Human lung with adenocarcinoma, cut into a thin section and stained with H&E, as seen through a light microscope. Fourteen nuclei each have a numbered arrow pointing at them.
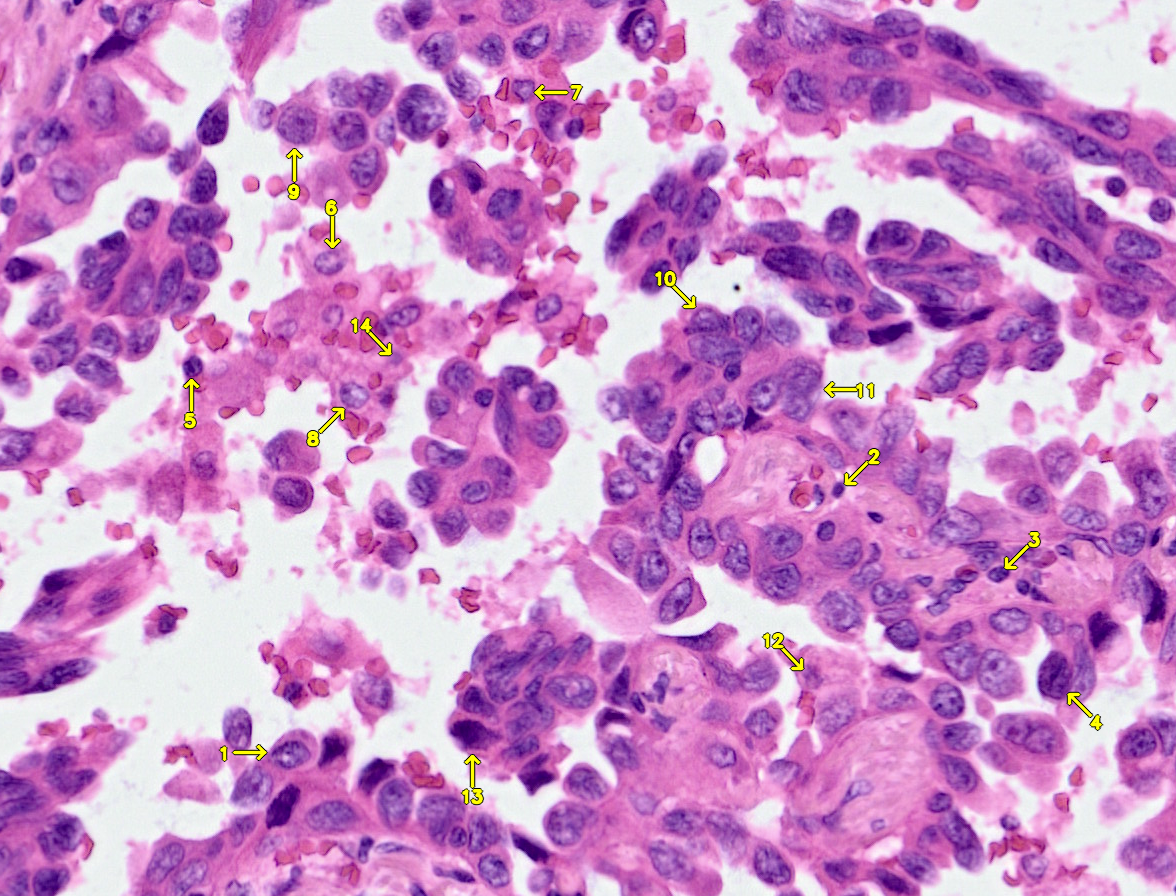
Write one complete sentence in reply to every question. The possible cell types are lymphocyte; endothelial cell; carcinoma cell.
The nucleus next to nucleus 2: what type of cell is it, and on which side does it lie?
It is an endothelial cell, whose nucleus lies to the left of nucleus 2.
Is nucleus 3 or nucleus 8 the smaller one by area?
Nucleus 3 is the smaller one; nucleus 8 covers about 2.5 times its area.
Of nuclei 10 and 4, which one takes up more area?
The larger nucleus is 4, at roughly 1.5 times the area of 10.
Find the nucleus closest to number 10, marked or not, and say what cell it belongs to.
Closest to number 10 lies the nucleus of a carcinoma cell.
